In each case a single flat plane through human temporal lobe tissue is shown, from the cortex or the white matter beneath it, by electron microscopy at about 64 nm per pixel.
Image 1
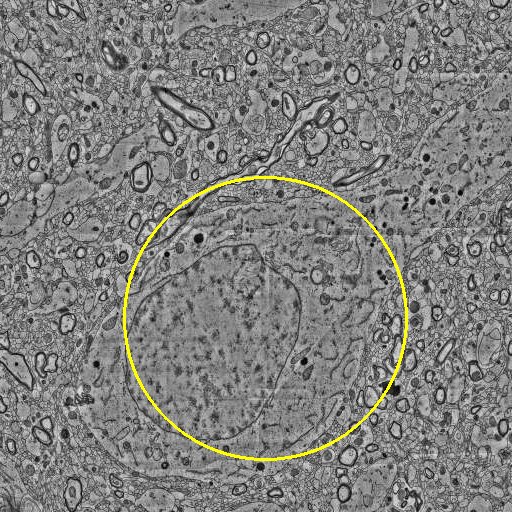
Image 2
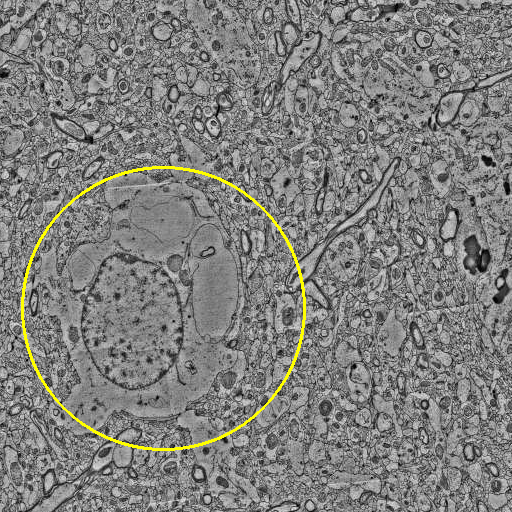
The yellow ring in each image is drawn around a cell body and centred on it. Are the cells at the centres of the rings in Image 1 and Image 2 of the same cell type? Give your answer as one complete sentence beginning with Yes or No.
No, the two cells are of two separate types.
